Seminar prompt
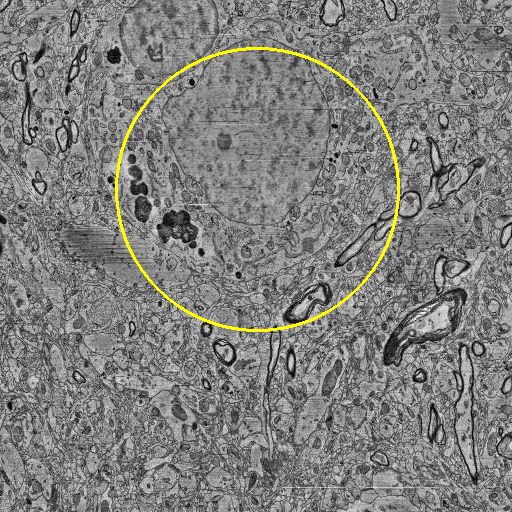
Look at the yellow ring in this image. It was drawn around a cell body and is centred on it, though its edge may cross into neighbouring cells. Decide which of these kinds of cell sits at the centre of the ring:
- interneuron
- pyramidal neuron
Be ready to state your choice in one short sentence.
The kind of cell at the ring's centre is an interneuron.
